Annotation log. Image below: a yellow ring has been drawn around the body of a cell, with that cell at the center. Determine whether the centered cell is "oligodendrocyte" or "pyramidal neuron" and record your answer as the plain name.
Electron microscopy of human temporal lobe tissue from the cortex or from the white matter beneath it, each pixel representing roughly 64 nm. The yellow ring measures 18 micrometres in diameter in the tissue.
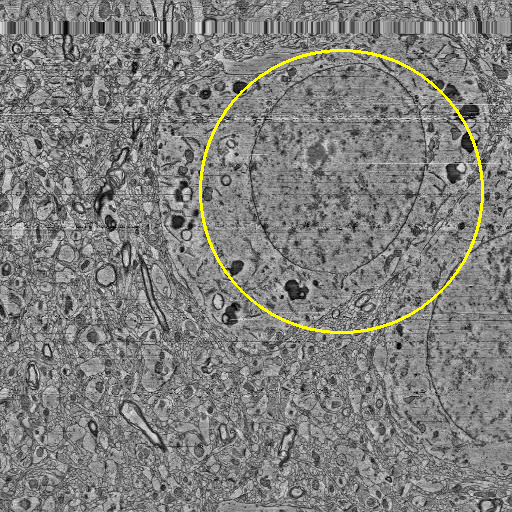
pyramidal neuron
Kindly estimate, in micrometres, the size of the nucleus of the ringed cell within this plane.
In this plane the nucleus spans approximately 14 by 11 micrometers.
